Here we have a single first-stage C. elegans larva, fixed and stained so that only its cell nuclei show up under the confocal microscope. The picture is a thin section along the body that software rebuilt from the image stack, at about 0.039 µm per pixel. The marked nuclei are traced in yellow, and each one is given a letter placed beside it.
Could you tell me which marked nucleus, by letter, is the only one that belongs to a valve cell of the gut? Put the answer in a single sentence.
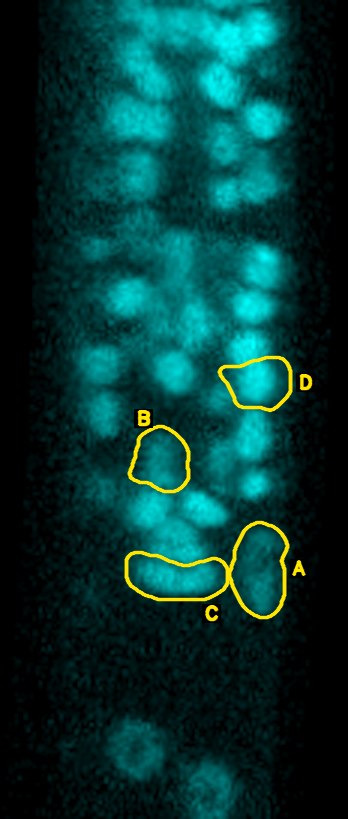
Of the marked nuclei, C is the one in a valve cell of the gut.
